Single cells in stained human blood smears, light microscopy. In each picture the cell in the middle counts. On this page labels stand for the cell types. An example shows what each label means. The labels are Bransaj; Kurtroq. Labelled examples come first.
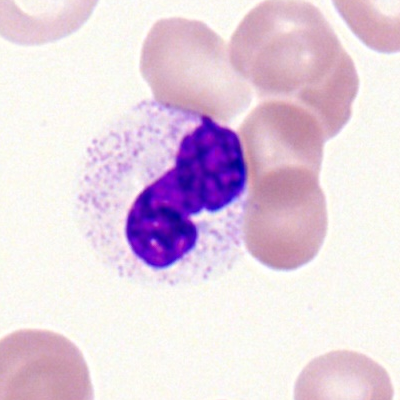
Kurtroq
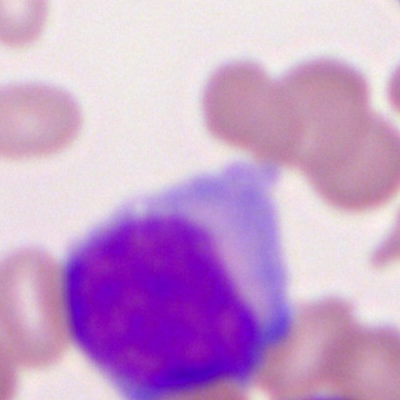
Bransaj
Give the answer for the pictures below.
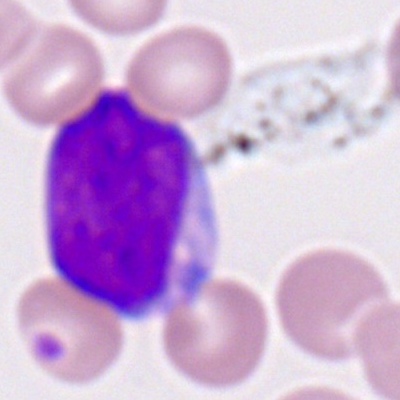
Bransaj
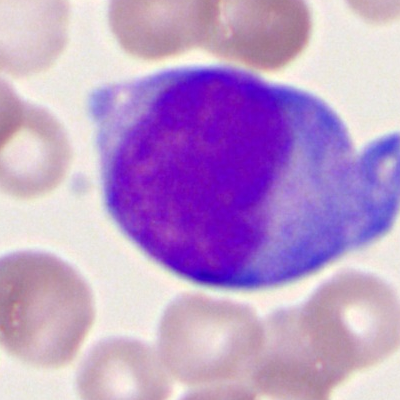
Bransaj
